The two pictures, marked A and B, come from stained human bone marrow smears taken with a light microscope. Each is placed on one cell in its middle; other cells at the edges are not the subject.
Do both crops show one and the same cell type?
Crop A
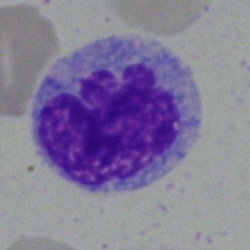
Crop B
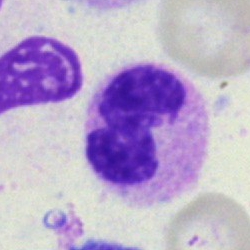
no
